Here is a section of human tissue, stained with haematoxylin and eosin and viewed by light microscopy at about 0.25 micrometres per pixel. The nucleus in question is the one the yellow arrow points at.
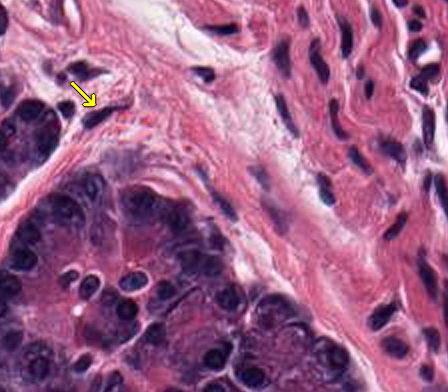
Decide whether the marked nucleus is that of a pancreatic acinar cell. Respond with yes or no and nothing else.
no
